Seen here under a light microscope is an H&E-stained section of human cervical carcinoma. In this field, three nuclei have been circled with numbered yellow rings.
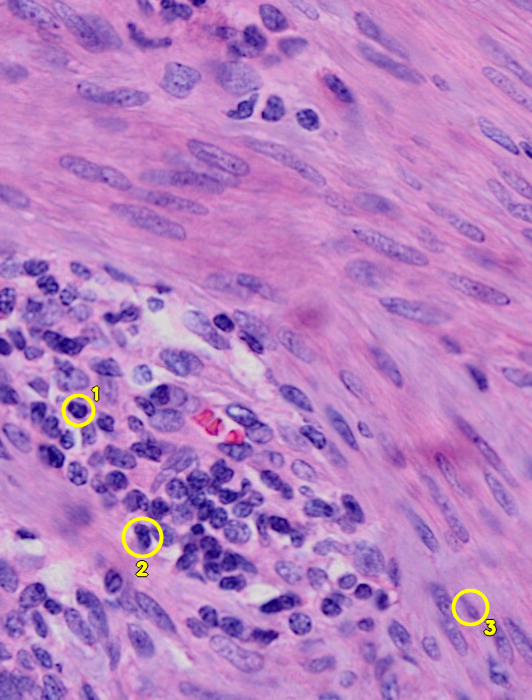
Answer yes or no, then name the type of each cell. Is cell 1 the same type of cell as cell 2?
Yes, and to be precise, cells 1 and 2 are both lymphocytes.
